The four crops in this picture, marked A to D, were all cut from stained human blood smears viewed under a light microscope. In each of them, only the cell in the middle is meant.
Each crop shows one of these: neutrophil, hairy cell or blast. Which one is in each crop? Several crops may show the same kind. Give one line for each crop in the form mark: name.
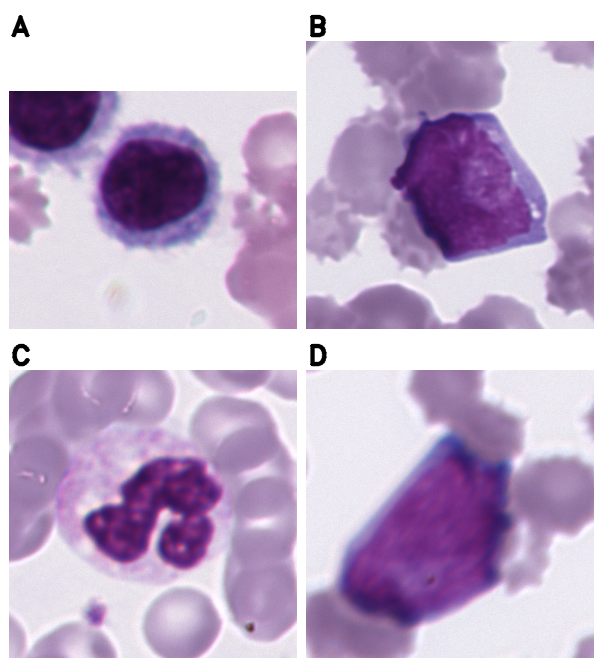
A: hairy cell
B: blast
C: neutrophil
D: blast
